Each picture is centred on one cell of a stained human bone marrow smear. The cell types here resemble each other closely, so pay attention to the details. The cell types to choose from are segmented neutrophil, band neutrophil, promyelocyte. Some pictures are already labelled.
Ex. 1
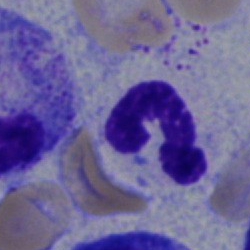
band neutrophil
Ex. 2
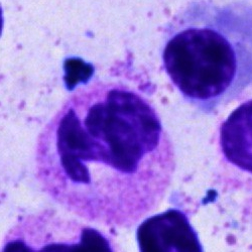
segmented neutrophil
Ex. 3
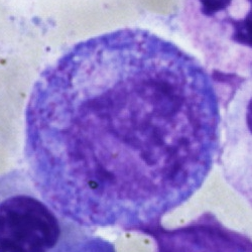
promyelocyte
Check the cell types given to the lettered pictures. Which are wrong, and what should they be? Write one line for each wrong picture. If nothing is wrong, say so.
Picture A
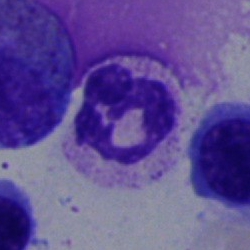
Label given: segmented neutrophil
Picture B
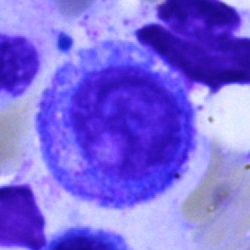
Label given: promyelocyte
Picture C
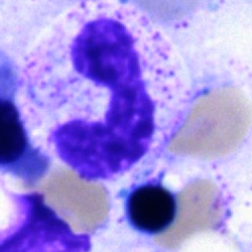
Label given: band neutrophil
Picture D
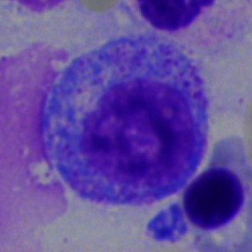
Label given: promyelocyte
No label is wrong.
